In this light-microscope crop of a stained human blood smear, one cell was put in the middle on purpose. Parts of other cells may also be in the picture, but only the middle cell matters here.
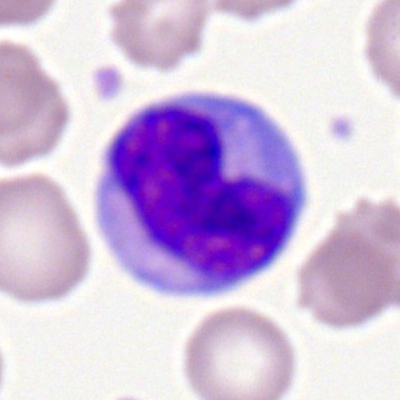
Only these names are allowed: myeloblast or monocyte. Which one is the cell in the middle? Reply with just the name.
monocyte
